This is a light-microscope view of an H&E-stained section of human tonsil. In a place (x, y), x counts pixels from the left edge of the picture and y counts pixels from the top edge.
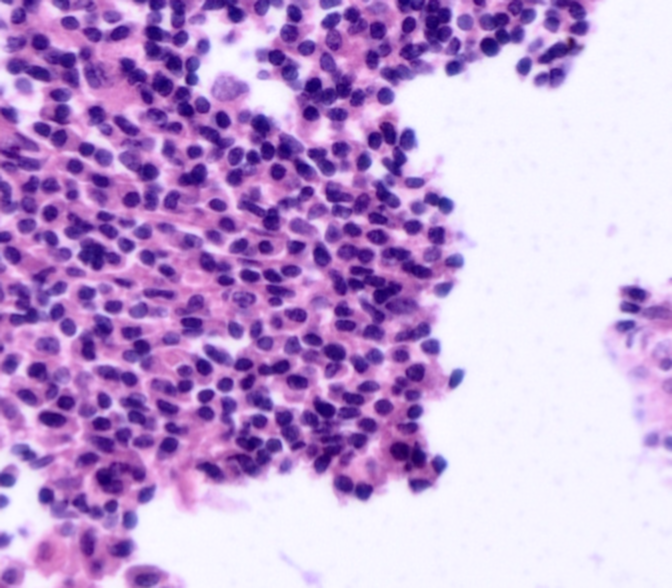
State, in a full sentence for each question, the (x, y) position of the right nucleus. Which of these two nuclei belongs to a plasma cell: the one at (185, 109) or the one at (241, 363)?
The nucleus of a plasma cell is the one at (241, 363).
